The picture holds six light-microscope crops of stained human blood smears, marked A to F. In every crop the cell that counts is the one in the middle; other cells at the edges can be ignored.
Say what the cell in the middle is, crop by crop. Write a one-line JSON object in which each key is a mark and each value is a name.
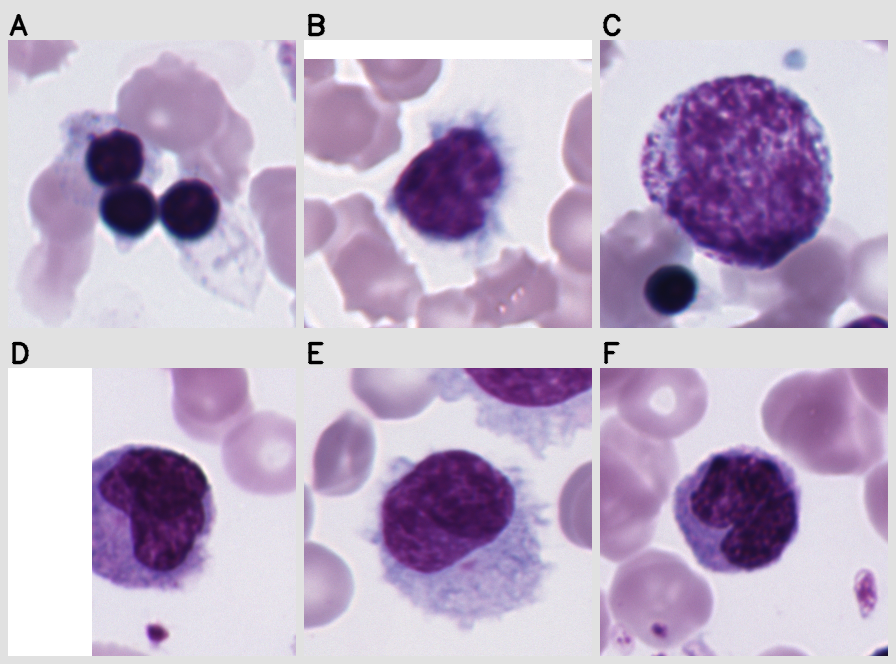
{"A": "normoblast", "B": "hairy cell", "C": "promyelocyte", "D": "monocyte", "E": "hairy cell", "F": "monocyte"}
